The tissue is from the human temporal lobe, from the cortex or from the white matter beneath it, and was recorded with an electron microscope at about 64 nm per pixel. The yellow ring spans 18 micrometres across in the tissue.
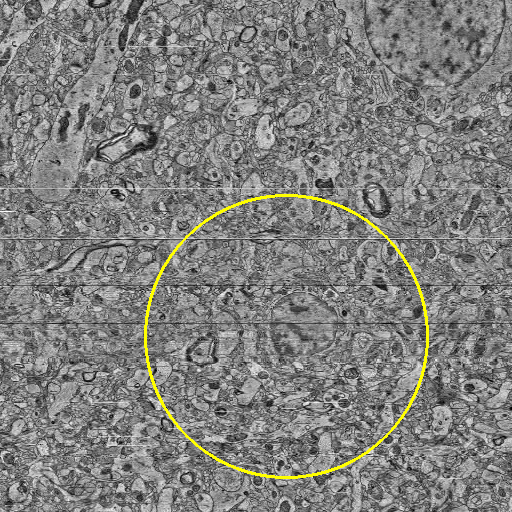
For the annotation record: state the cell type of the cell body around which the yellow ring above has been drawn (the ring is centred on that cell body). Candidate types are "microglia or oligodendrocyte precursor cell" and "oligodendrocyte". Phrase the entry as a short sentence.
The ringed cell is a microglial cell or oligodendrocyte precursor cell.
